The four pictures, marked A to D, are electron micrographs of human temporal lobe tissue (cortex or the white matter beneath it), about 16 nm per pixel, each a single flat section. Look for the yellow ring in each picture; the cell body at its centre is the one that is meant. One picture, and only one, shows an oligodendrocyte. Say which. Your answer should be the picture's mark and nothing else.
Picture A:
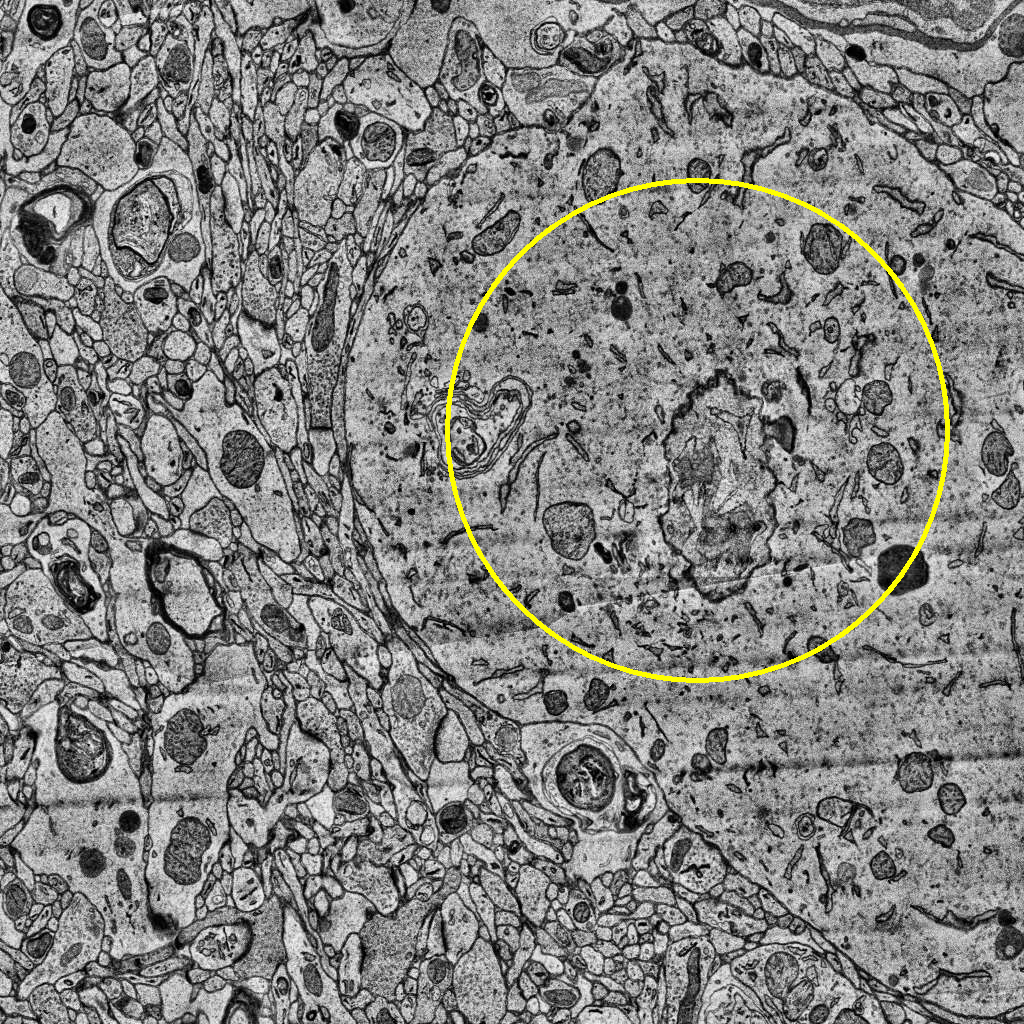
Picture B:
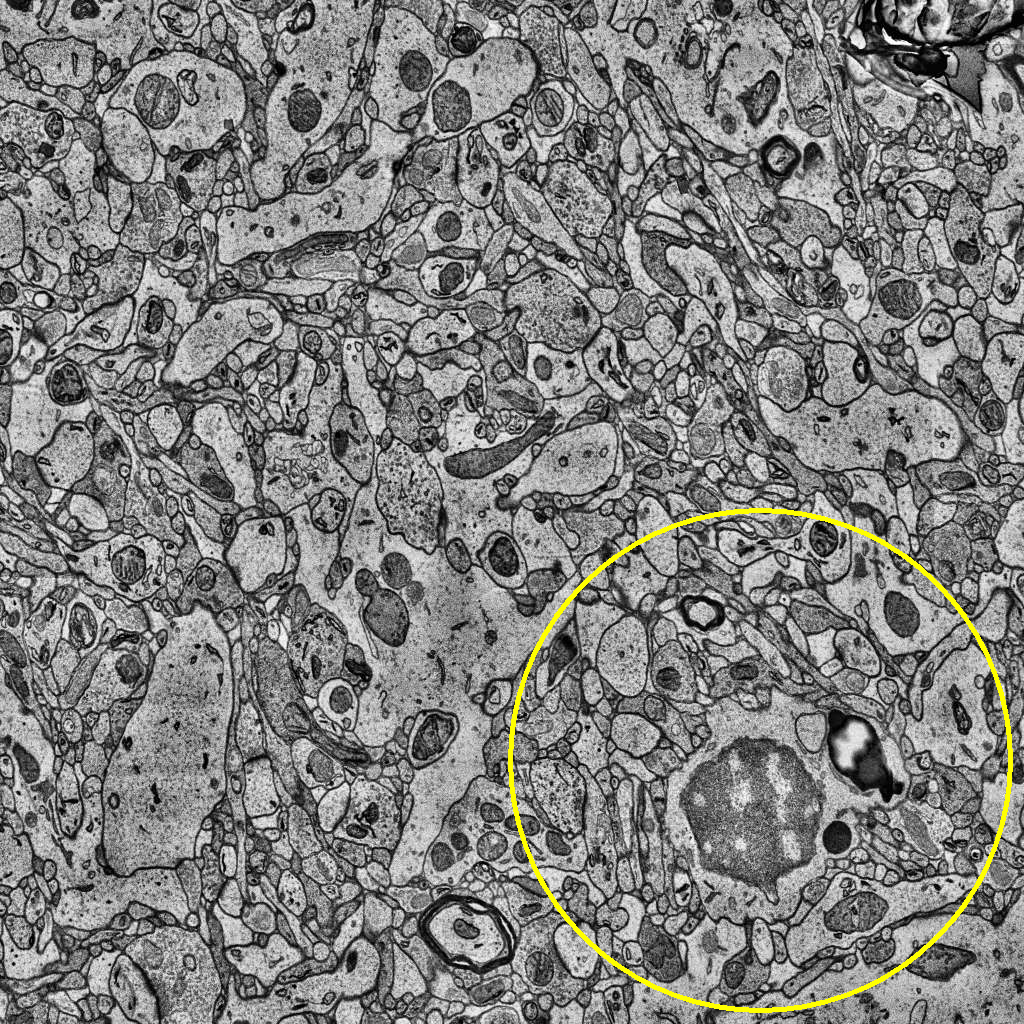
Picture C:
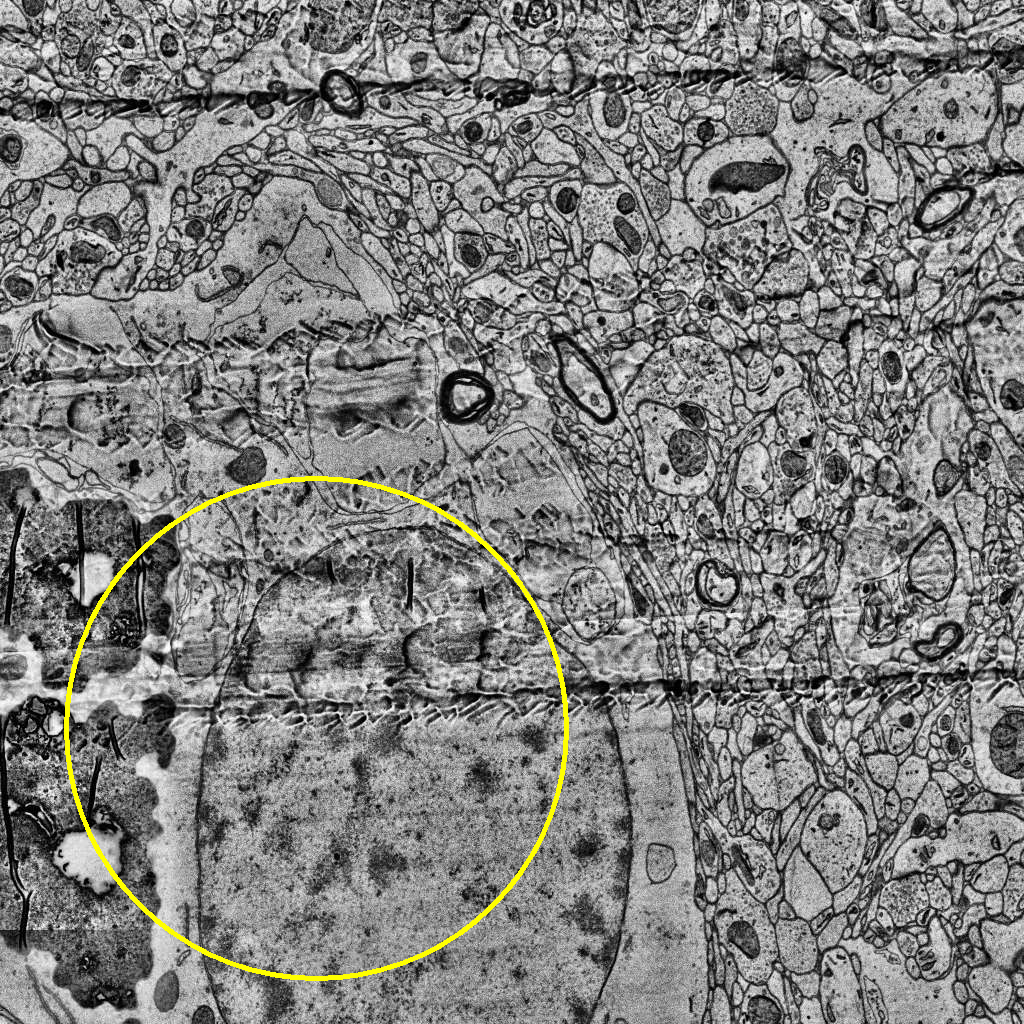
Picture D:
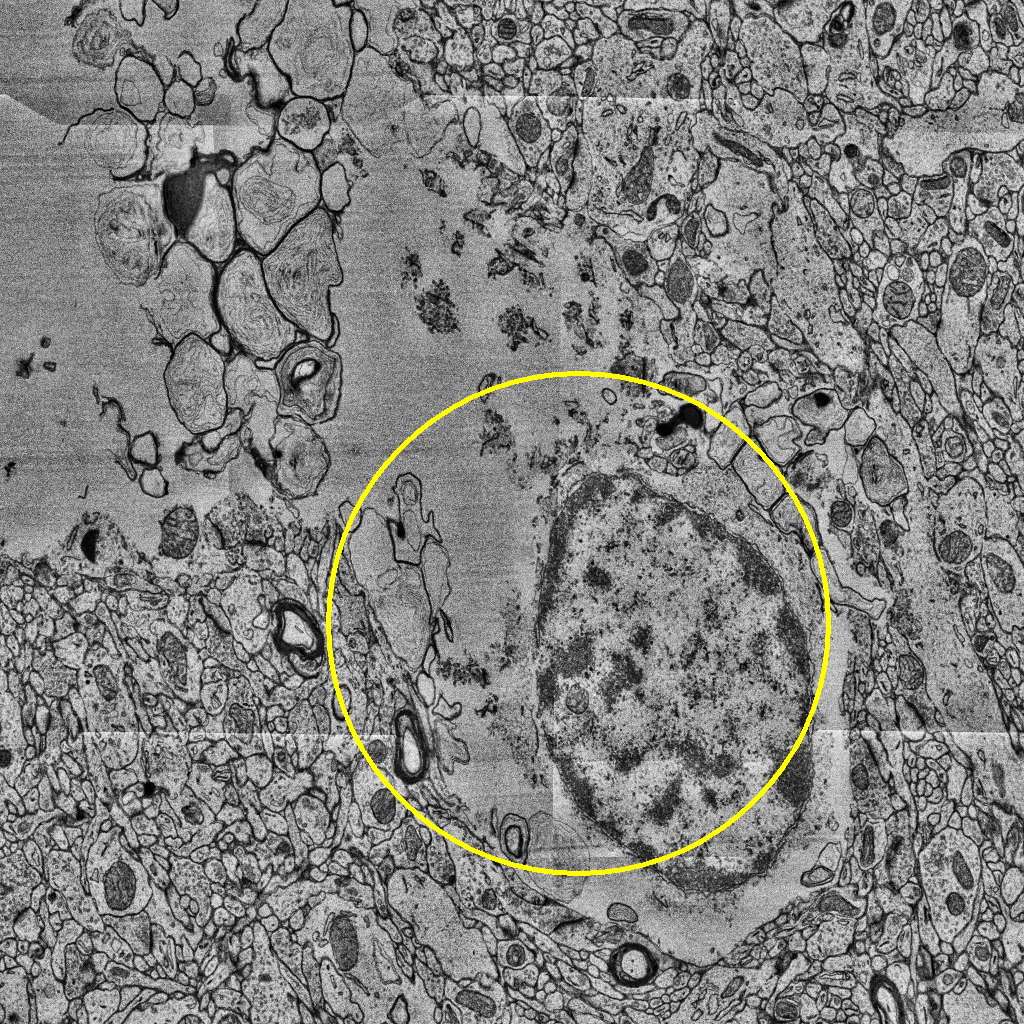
A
